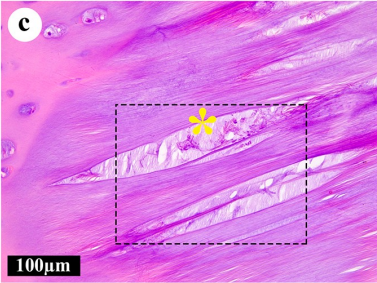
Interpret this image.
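Cartilage matrix is replaced by bands of fine parallel fibres staining pink to purple, and within them lie elongated, spindle-shaped clear spaces. Some of these spaces hold pale, wispy material with small purple fragments, while a few rounded lacunae remain at the upper left.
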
